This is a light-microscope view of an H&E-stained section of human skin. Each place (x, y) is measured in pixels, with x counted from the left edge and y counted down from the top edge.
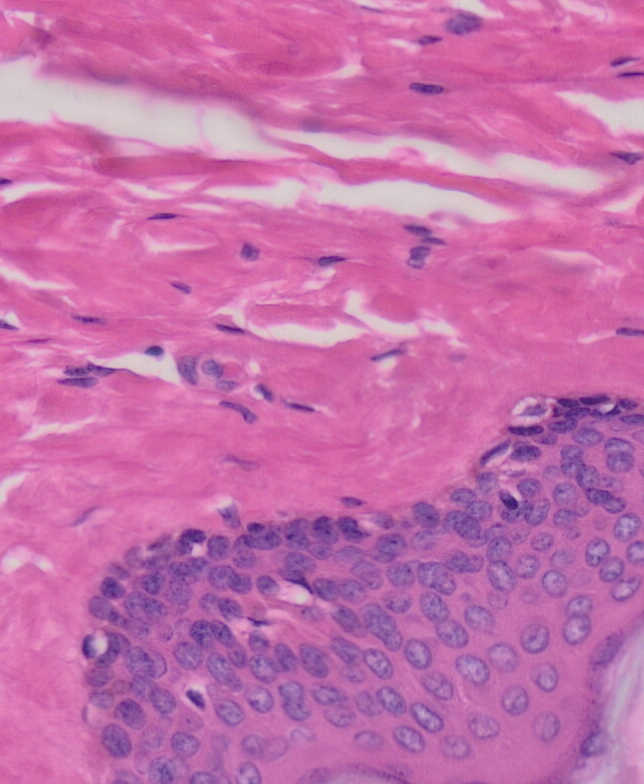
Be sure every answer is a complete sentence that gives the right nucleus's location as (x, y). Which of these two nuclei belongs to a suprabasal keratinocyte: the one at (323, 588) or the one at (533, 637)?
As for which of the two, the nucleus at (533, 637) belongs to a suprabasal keratinocyte.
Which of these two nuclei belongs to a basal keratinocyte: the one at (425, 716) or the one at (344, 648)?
The nucleus at (344, 648) belongs to a basal keratinocyte, which distinguishes it from the other nucleus.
